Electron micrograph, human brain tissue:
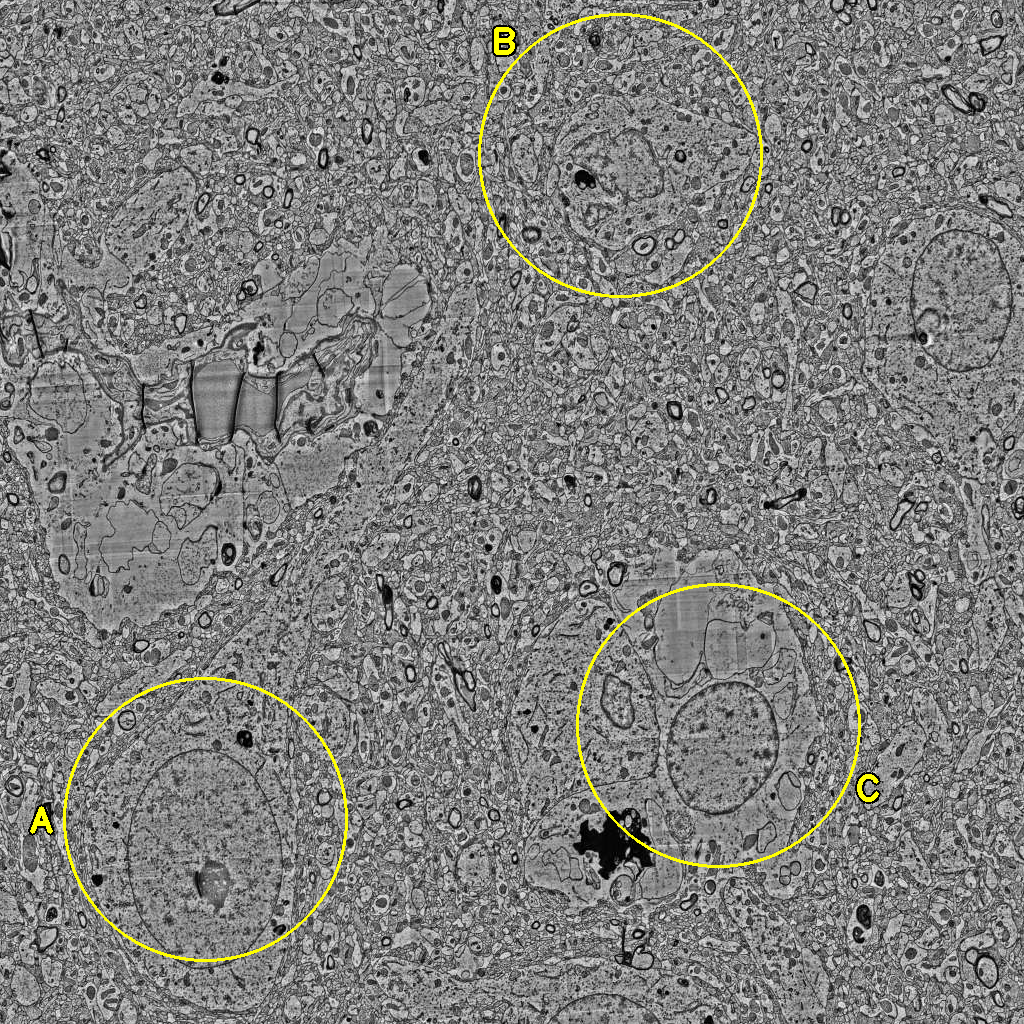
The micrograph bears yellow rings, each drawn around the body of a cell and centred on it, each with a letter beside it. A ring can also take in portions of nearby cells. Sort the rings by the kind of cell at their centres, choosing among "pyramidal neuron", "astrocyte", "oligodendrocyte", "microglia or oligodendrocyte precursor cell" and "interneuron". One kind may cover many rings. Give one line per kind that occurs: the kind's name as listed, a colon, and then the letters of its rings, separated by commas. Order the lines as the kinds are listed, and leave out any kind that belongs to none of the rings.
pyramidal neuron: A
astrocyte: C
interneuron: B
